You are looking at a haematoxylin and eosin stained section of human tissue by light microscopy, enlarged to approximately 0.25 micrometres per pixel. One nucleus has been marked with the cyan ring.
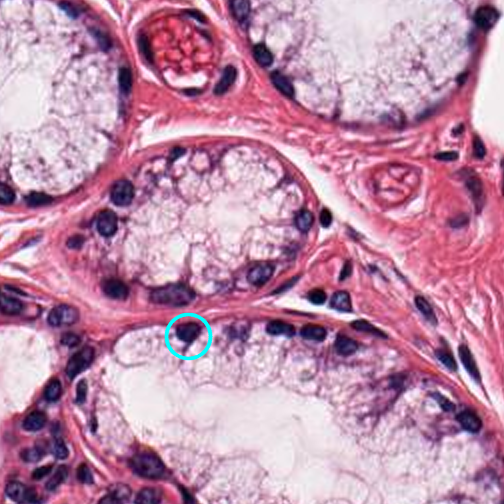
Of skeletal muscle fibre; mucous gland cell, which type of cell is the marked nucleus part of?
mucous gland cell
